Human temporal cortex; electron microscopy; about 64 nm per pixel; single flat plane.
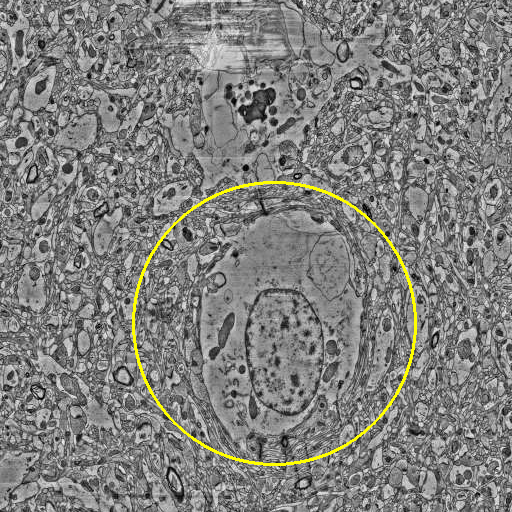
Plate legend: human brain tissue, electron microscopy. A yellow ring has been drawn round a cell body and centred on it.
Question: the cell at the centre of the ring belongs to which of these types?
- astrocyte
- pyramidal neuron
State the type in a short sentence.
The cell in the middle of the ring is an astrocyte.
